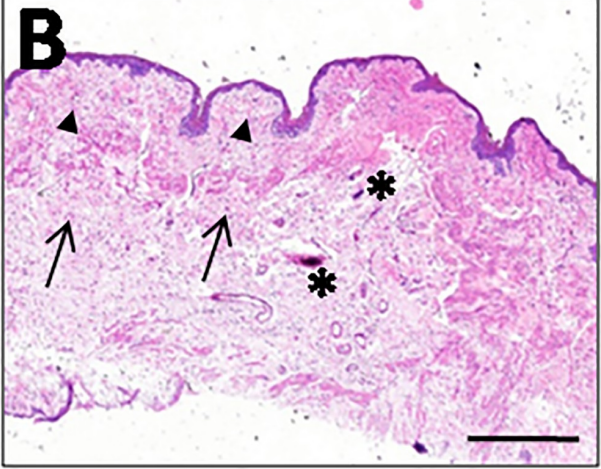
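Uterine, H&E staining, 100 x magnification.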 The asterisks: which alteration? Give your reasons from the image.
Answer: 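A dark-filled profile lies next to the lower asterisk.
Conclusion: congested vessels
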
